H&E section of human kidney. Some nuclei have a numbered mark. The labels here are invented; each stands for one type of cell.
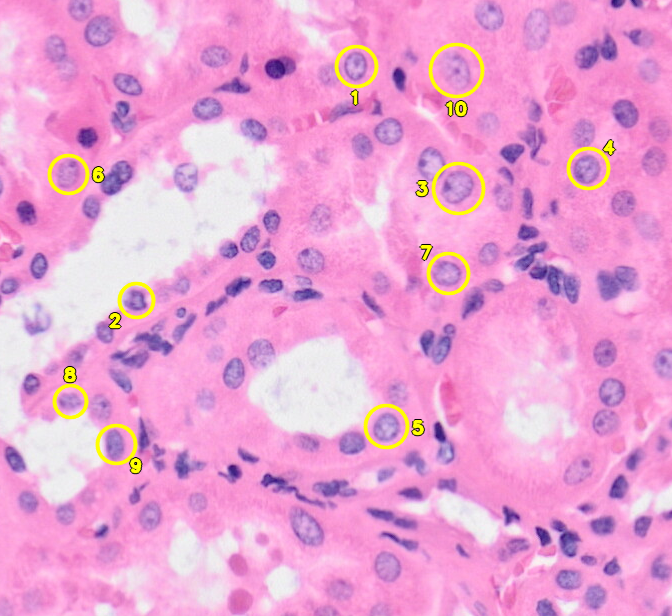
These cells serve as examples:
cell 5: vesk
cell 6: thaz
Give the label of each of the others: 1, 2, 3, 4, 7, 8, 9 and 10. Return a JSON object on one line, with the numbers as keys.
{"1": "thaz", "2": "vesk", "3": "thaz", "4": "thaz", "7": "thaz", "8": "vesk", "9": "vesk", "10": "thaz"}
